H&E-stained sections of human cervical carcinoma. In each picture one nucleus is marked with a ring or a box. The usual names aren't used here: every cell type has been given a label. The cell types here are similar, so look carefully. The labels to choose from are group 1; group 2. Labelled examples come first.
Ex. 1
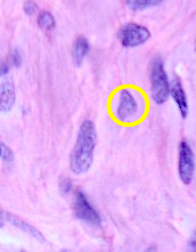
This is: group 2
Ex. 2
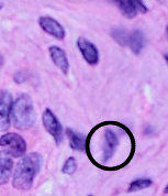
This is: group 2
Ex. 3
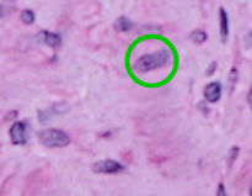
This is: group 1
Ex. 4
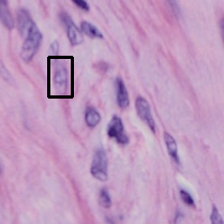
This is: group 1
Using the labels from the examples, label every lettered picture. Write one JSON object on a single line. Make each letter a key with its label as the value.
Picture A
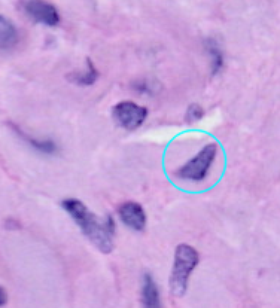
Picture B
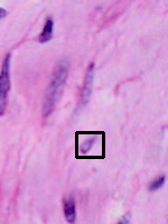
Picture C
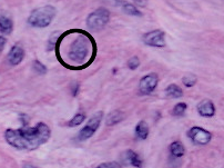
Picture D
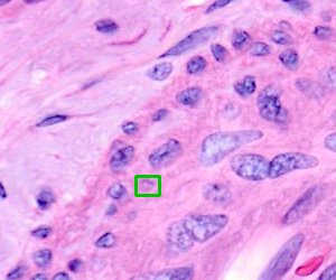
{"A": "group 2", "B": "group 2", "C": "group 1", "D": "group 1"}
